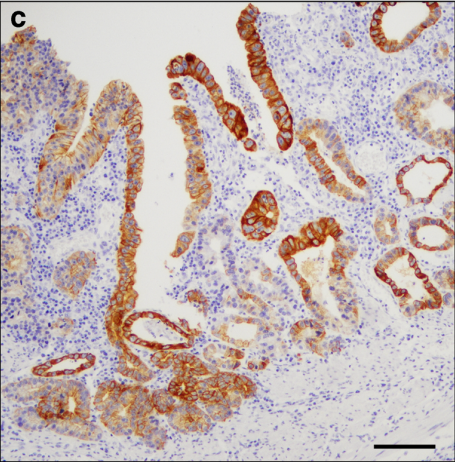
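Here is small intestinal mucosa in which strands and rounded nests of epithelium stand out brown against a pale blue lamina propria crowded with small inflammatory cells. Some of the brown cords run along the surface lining, while other glands below are only faintly brown, and in places the epithelial cells look crowded and tightly packed.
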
